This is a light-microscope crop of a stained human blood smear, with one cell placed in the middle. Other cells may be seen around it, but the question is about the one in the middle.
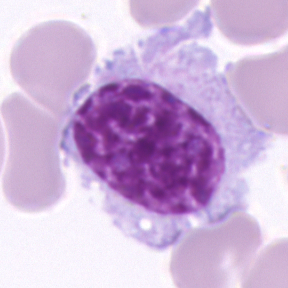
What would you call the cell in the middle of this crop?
plasma cell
